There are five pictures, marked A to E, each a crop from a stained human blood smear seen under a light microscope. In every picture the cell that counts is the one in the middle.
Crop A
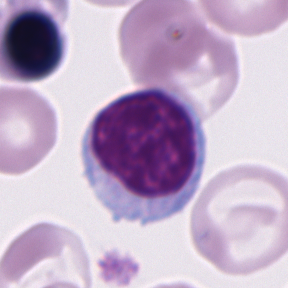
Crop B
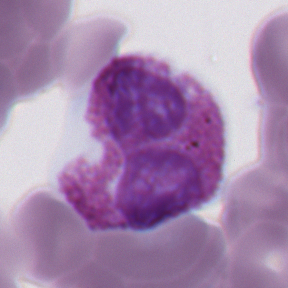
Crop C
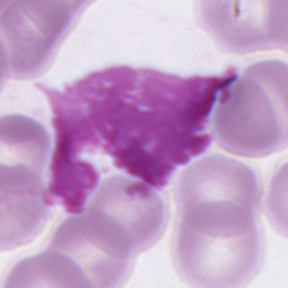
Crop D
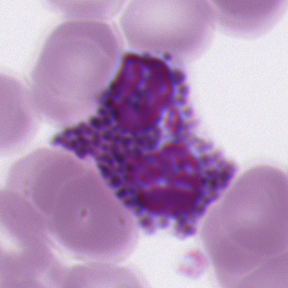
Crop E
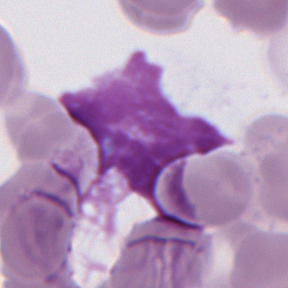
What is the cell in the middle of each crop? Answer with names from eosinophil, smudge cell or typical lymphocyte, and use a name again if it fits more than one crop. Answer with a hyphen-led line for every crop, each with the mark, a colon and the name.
- A: typical lymphocyte
- B: eosinophil
- C: smudge cell
- D: eosinophil
- E: smudge cell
